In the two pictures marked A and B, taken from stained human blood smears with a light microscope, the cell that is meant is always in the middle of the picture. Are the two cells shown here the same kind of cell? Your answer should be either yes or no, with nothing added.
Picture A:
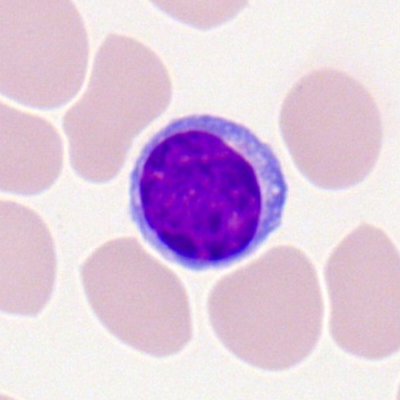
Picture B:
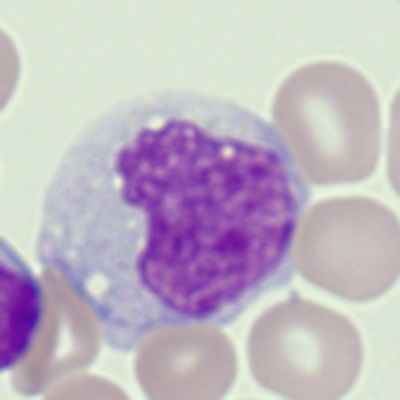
no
